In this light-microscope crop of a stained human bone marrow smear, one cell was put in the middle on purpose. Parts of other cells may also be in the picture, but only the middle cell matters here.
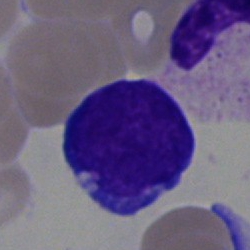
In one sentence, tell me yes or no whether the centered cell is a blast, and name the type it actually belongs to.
Yes, the centered cell in this field is a blast.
